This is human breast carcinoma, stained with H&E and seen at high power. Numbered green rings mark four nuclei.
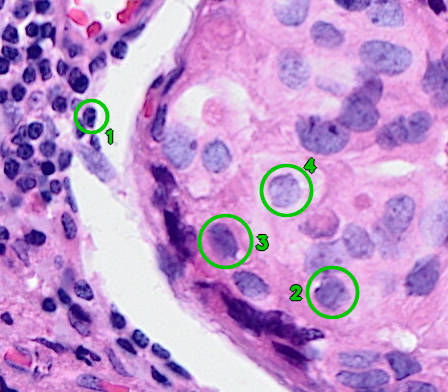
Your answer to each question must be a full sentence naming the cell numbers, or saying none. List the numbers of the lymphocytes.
In short, cell 1 is a lymphocyte; the others are not.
